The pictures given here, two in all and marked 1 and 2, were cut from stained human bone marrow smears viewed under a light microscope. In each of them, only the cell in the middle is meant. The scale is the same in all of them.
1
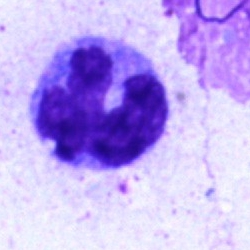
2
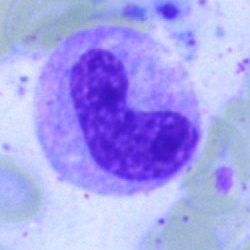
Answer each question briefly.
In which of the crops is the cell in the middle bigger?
2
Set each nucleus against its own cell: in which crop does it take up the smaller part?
2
